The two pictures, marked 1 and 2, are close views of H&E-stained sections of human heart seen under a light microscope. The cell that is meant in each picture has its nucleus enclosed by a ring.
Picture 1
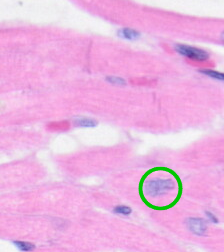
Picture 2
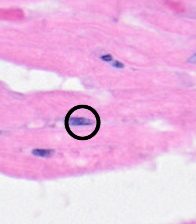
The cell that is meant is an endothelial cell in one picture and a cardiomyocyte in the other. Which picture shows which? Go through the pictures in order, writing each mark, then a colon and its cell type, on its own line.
1: cardiomyocyte
2: endothelial cell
